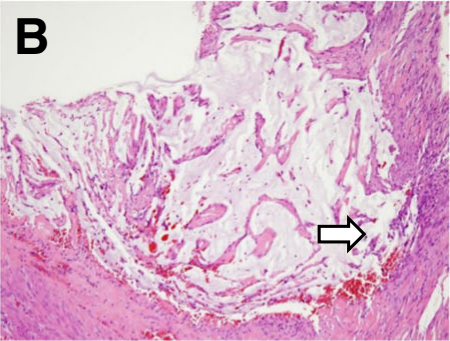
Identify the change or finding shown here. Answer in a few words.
Mucin production.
